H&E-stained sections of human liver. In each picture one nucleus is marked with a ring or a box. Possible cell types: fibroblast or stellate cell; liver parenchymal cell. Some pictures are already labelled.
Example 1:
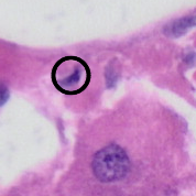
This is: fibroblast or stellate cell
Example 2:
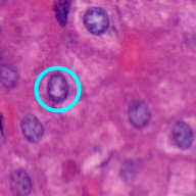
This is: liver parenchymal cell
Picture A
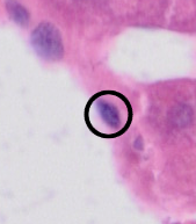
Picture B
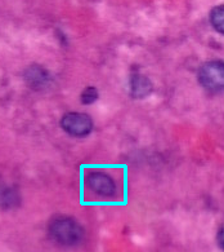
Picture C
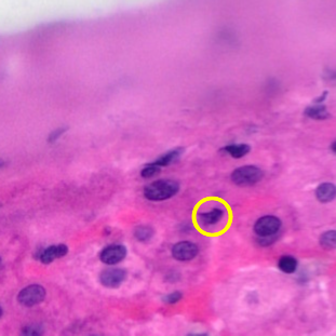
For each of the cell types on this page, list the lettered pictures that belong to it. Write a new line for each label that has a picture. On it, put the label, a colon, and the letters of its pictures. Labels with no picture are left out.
fibroblast or stellate cell: A, C
liver parenchymal cell: B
